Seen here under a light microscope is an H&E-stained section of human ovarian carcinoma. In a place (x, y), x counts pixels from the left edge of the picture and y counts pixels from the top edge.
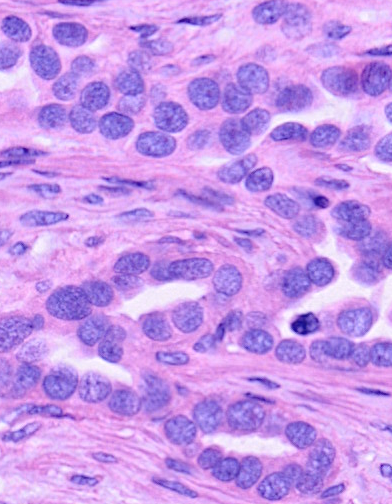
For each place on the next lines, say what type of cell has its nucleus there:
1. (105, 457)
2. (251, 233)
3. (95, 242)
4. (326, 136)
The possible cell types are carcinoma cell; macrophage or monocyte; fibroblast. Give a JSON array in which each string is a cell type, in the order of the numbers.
["fibroblast", "fibroblast", "fibroblast", "carcinoma cell"]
